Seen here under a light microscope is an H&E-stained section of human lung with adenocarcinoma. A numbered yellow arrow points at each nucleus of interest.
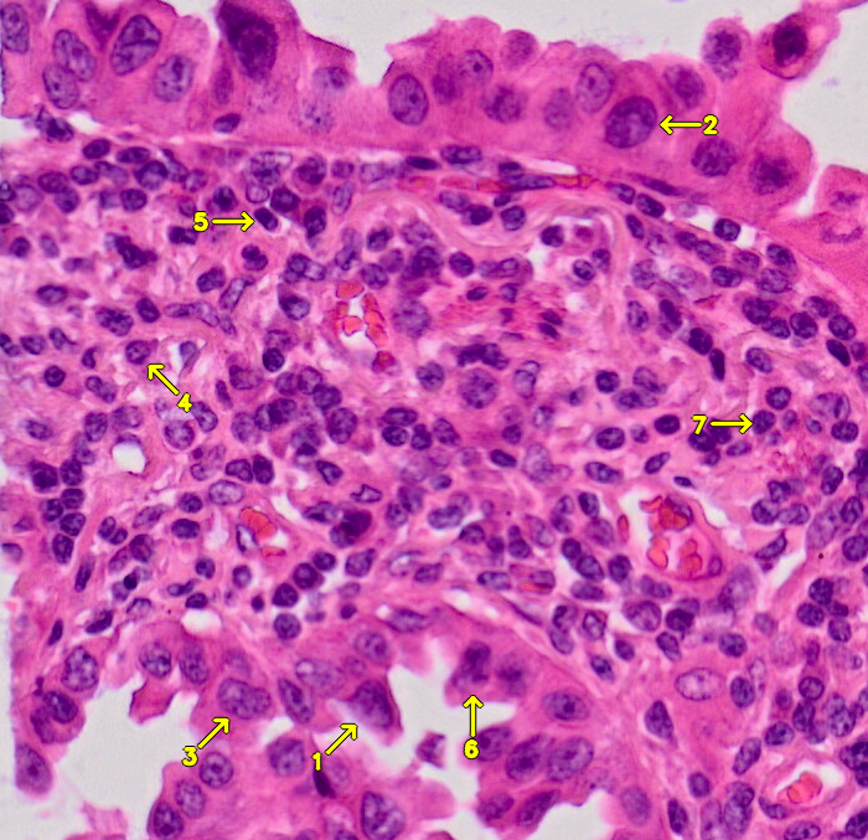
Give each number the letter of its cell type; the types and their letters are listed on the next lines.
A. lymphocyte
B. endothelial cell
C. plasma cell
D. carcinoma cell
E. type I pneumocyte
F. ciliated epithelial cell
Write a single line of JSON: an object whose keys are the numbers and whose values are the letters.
{"1": "D", "2": "D", "3": "D", "4": "C", "5": "A", "6": "D", "7": "A"}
